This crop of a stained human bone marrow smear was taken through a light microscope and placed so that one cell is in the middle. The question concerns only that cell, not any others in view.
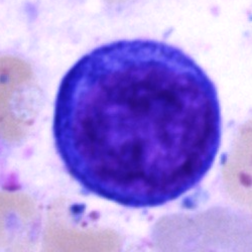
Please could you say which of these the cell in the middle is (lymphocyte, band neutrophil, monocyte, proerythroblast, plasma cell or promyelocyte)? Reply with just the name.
proerythroblast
